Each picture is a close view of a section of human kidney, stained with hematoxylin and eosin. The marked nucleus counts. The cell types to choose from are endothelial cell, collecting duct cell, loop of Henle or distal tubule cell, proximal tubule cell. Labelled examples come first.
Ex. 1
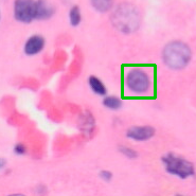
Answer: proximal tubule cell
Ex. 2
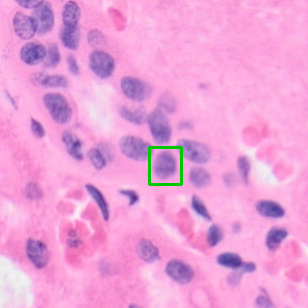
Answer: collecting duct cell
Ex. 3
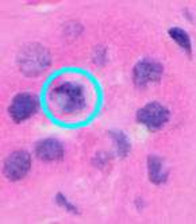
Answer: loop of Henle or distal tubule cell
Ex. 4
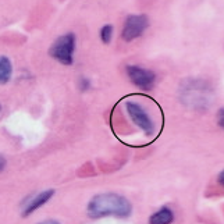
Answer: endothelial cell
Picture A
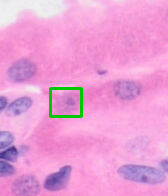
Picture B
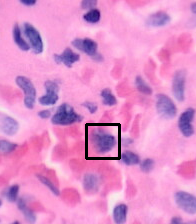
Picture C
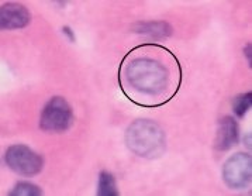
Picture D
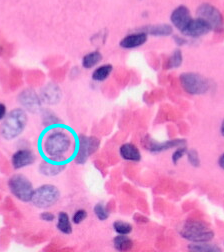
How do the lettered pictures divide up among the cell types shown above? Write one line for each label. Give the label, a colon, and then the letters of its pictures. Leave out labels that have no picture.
endothelial cell: B
collecting duct cell: D
proximal tubule cell: A, C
